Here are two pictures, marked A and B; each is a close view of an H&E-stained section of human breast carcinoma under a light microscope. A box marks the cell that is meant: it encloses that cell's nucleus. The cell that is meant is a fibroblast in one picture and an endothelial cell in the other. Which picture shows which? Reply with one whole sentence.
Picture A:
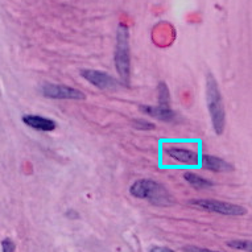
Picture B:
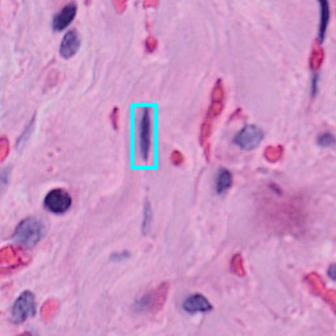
In picture A the cell is an endothelial cell; in picture B, a fibroblast.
